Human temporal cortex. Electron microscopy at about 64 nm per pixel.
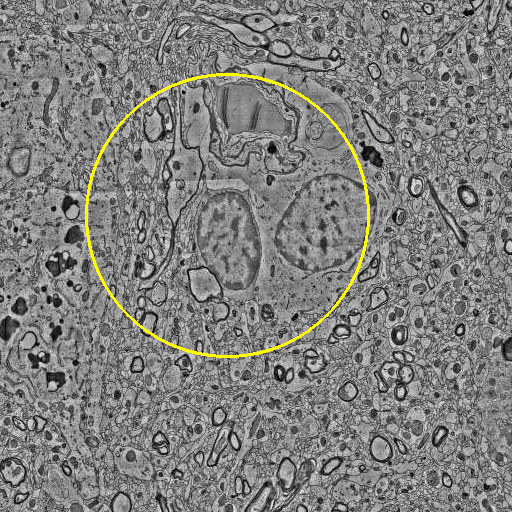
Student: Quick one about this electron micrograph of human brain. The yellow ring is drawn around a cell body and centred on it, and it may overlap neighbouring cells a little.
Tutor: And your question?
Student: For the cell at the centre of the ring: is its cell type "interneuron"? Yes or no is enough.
no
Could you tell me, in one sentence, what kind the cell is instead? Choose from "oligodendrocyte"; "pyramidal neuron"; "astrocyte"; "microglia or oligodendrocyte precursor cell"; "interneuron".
Instead, the cell at the centre of the yellow ring is an oligodendrocyte.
